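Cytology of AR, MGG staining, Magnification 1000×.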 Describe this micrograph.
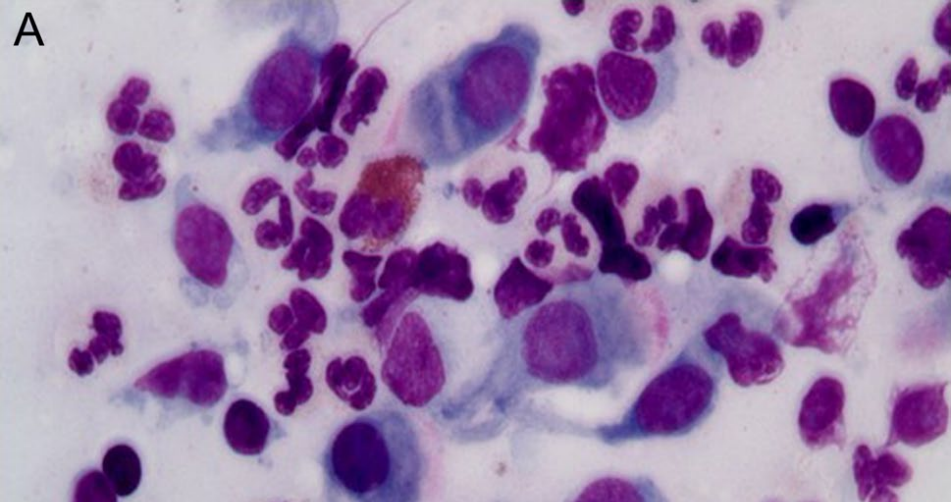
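A nasal smear shows several larger epithelial cells with oval nuclei and pale bluish cytoplasm, some elongated with a tapering end. Between them lie many small cells with segmented, multilobed purple nuclei, a few small round cells with dense dark nuclei, and a single cell holding reddish-brown granules.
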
